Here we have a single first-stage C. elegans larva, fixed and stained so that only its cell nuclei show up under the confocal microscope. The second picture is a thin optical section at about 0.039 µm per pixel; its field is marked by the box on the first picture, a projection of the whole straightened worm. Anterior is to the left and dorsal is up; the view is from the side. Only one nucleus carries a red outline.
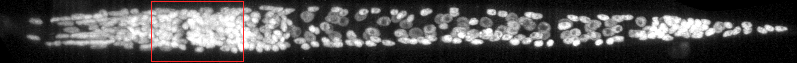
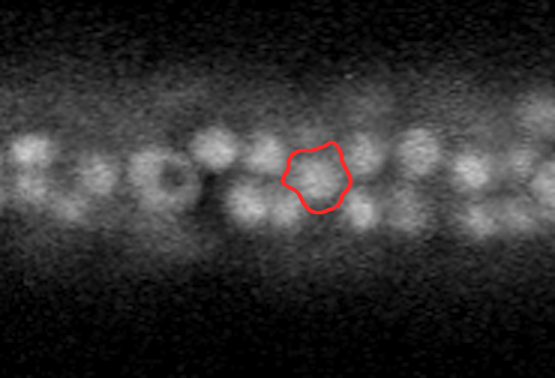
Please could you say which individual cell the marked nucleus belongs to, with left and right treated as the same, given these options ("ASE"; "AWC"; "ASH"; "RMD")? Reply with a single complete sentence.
The marked nucleus belongs to AWC, a neuron.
